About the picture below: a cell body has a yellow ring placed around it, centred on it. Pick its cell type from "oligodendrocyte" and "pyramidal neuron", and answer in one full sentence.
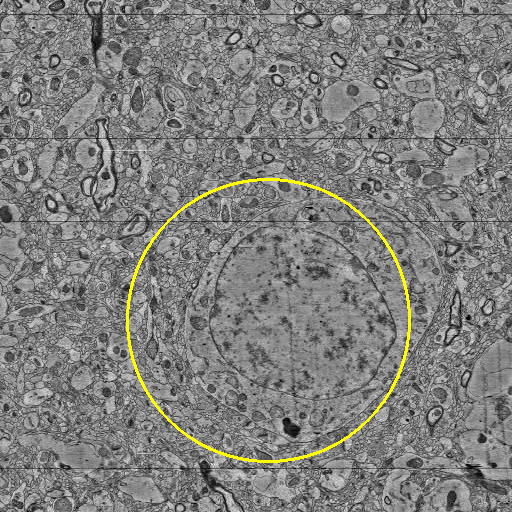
In the picture, a pyramidal neuron is the cell sitting at the centre of the yellow ring.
